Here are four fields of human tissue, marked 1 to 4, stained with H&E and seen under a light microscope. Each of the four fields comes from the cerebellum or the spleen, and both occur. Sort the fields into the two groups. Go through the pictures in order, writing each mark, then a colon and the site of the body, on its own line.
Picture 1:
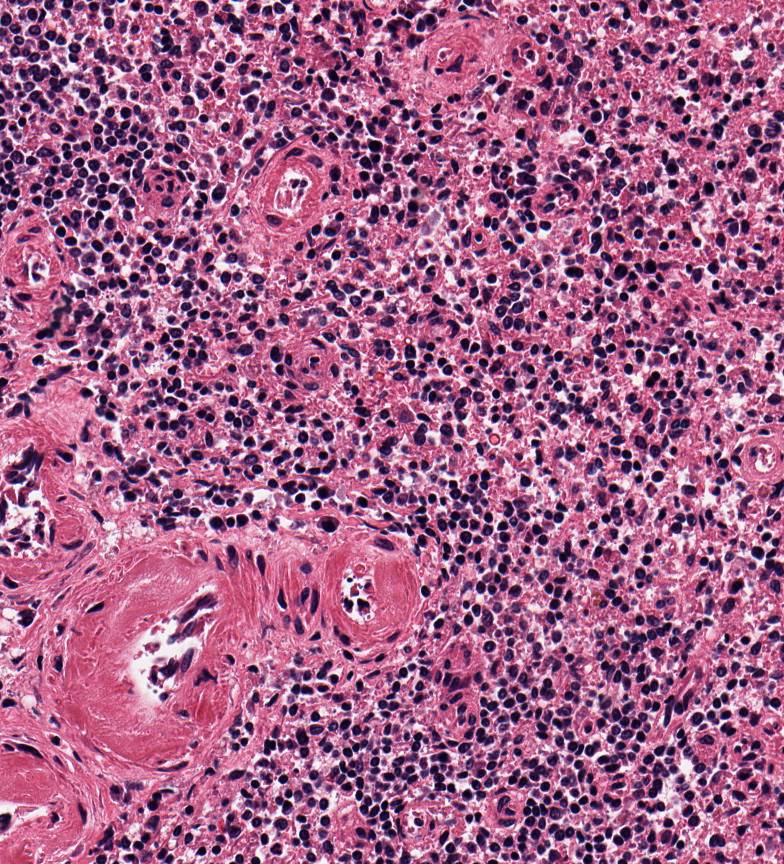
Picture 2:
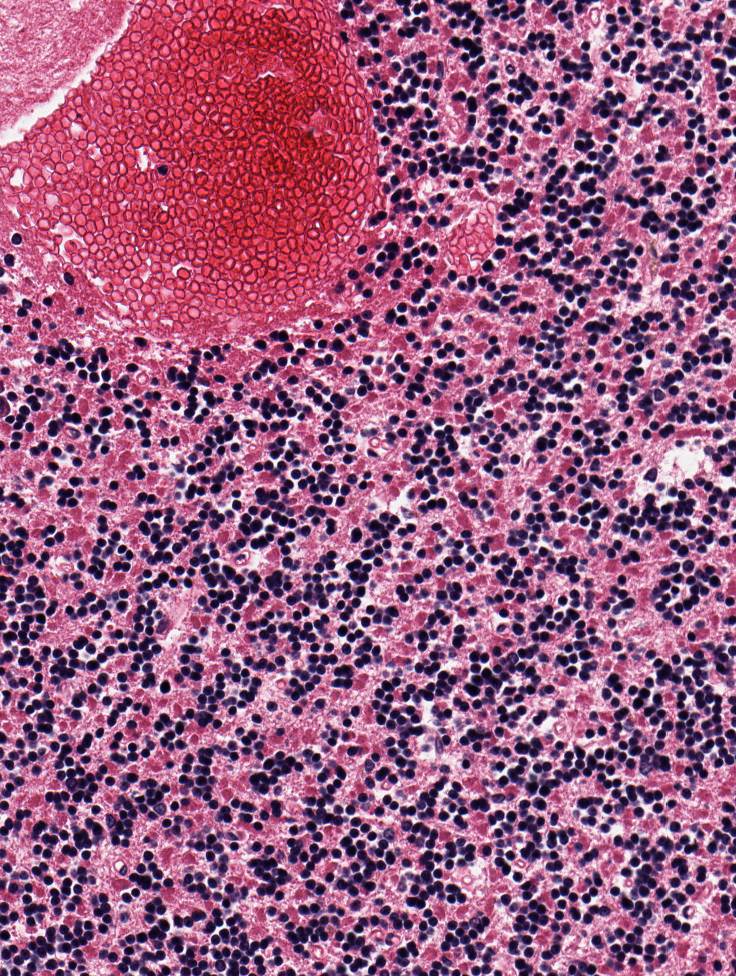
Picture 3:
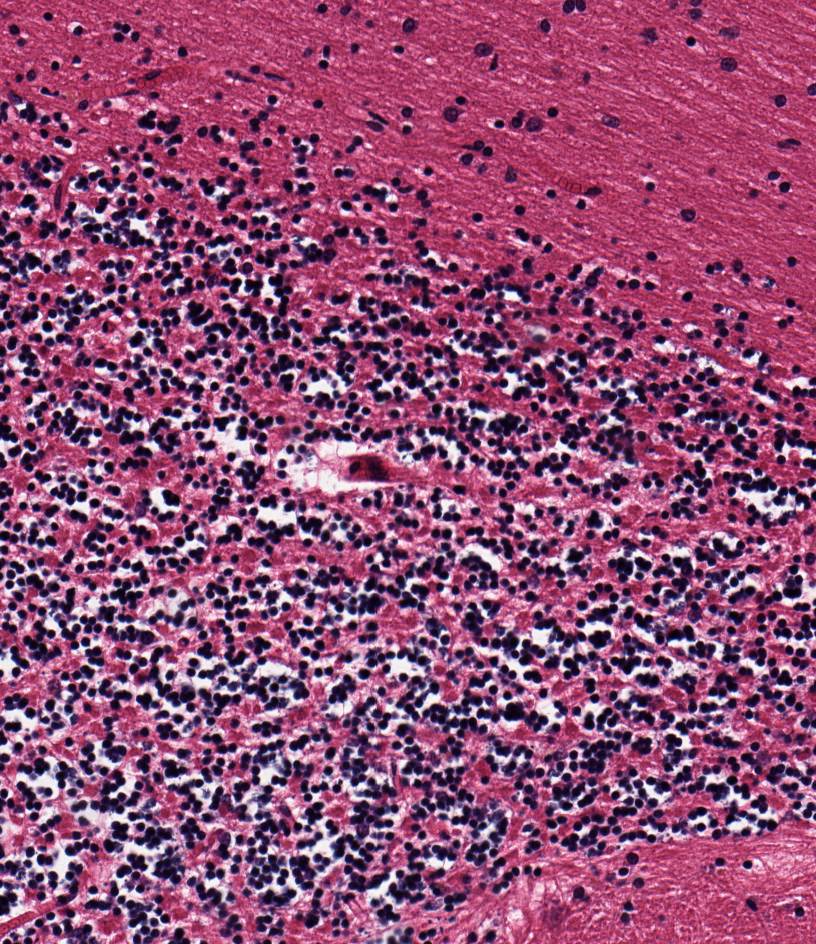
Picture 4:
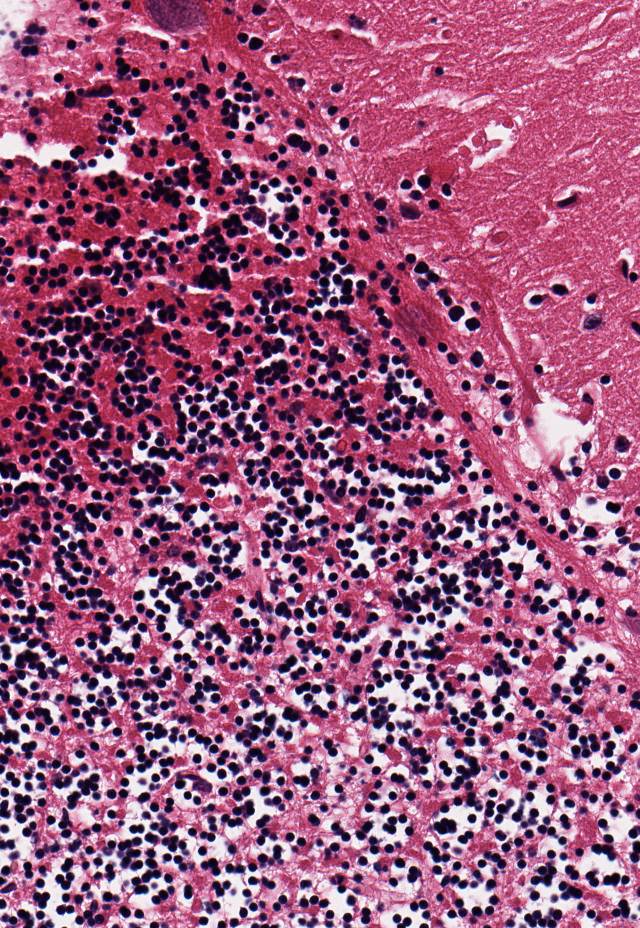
1: spleen
2: cerebellum
3: cerebellum
4: cerebellum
